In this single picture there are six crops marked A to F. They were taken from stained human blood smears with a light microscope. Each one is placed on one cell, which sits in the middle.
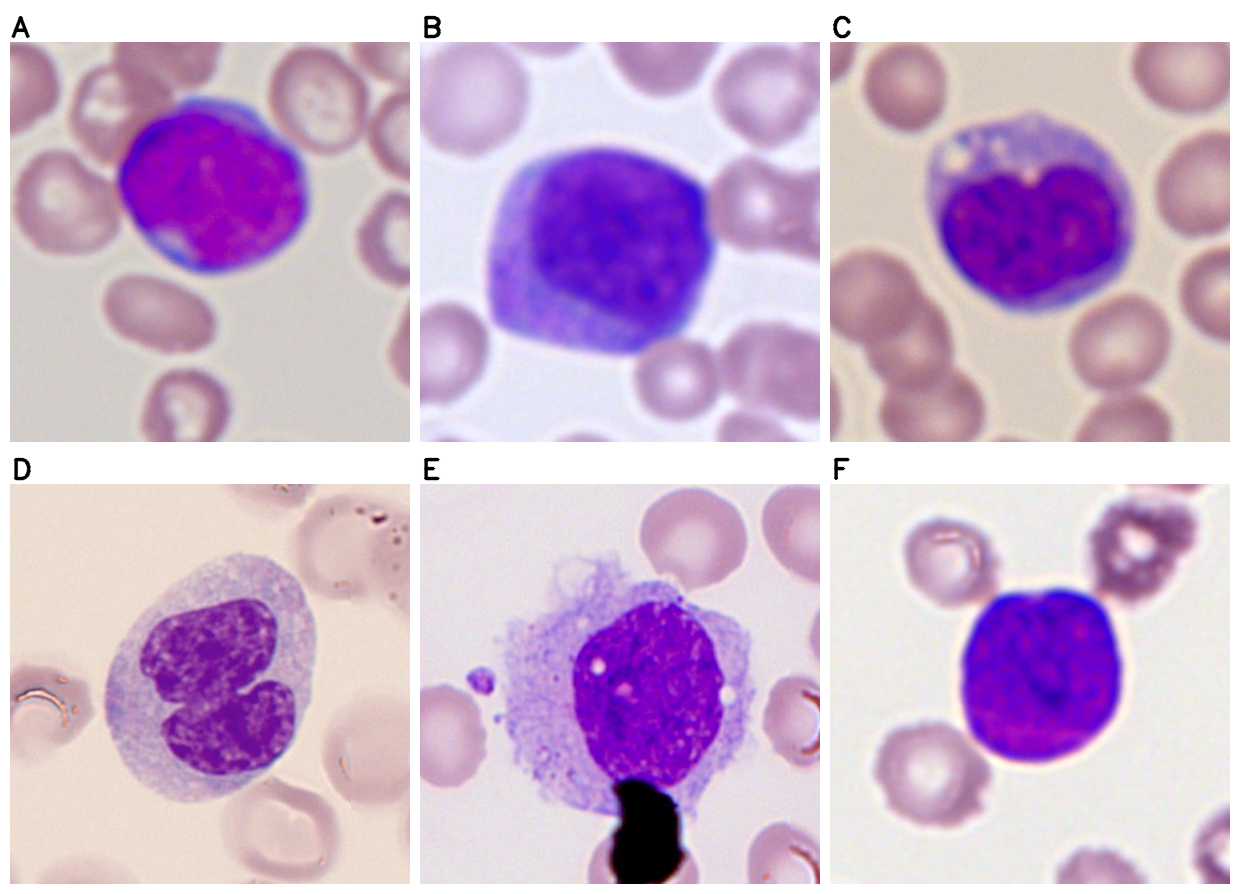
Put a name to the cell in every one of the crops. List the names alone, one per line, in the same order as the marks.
blast
blast
monocyte
monocyte
monocyte
blast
